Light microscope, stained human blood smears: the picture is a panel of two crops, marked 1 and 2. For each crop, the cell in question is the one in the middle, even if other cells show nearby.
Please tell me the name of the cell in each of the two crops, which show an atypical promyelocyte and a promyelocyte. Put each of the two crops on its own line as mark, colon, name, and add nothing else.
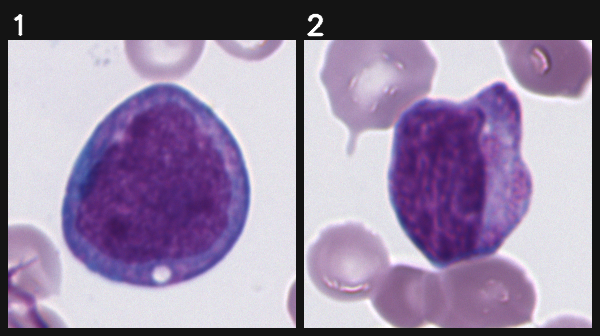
1: promyelocyte
2: atypical promyelocyte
